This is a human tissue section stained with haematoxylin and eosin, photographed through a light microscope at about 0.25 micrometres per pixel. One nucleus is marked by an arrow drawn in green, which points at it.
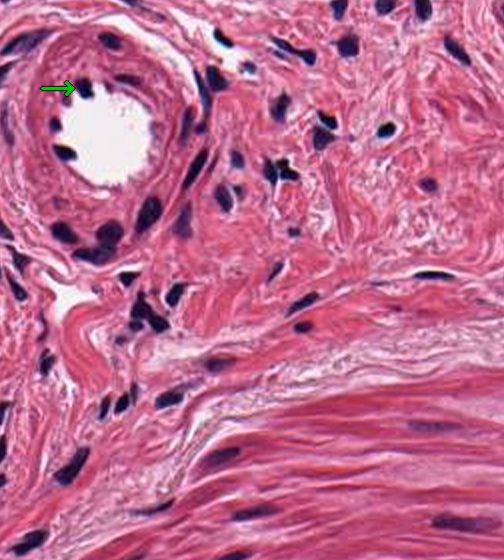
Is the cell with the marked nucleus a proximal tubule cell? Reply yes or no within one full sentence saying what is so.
No, the cell bearing the marked nucleus is not a proximal tubule cell but a supporting cell.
